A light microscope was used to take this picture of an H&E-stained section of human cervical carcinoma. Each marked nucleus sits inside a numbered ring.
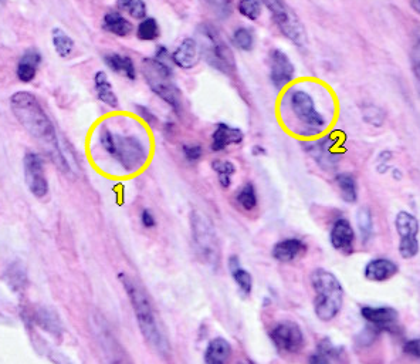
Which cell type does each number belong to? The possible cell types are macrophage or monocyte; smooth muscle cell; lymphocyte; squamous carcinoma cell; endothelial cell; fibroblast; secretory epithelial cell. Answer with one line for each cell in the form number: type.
1: macrophage or monocyte
2: lymphocyte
